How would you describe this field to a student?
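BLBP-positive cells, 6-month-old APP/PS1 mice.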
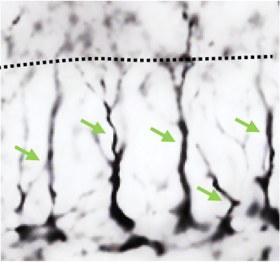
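Radial glia-like stem cells of the dentate gyrus, stained dark against a pale background. Their small cell bodies lie along the lower border of the granule cell layer, next to the hilus, and each sends a single long, slender process straight up through the layer. The processes run roughly parallel at fairly regular spacing and branch finely near the dotted line at the edge of the molecular layer.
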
